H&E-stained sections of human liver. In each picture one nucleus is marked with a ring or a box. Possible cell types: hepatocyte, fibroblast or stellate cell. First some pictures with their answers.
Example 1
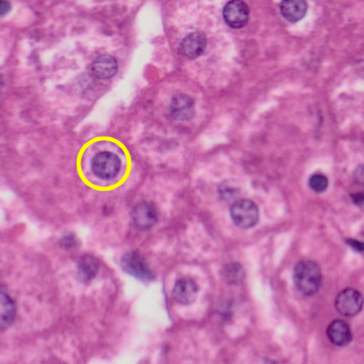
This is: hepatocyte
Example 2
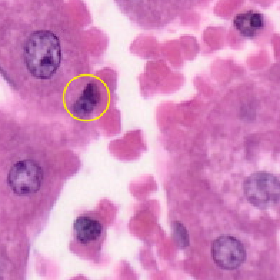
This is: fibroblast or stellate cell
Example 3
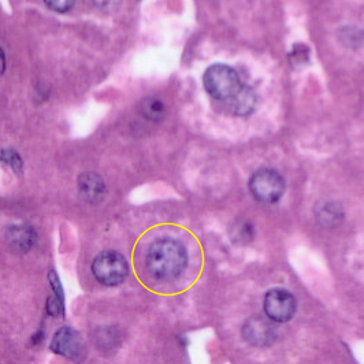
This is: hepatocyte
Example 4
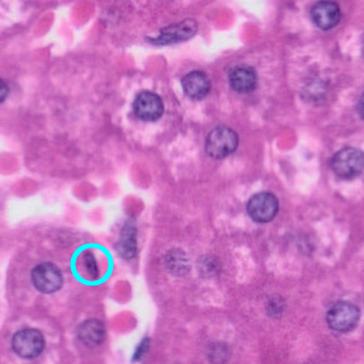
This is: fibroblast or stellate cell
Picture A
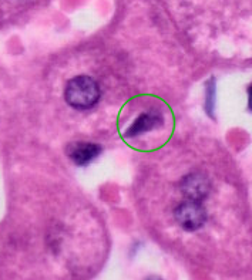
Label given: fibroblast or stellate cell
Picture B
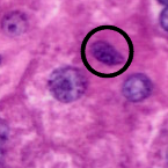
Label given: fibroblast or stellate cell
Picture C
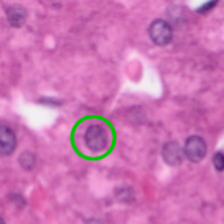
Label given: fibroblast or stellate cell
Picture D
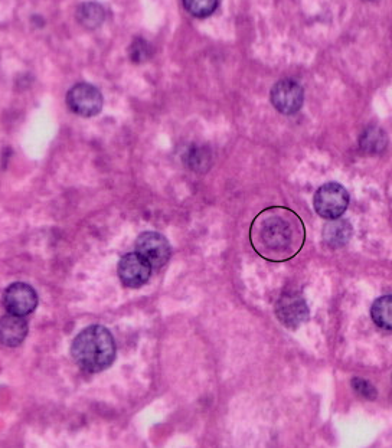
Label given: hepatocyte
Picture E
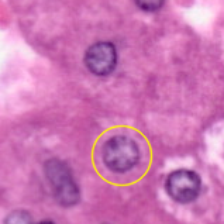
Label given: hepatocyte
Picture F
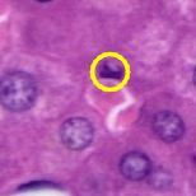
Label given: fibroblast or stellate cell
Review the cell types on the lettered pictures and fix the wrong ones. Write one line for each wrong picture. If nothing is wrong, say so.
C should be hepatocyte, not fibroblast or stellate cell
